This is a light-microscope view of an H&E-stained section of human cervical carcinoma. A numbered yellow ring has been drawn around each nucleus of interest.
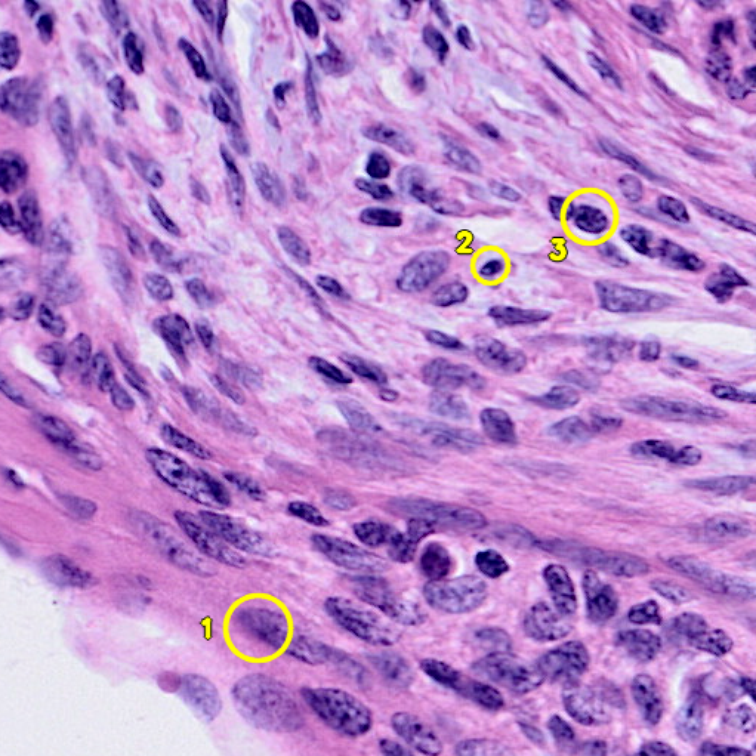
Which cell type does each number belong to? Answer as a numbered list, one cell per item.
1. squamous carcinoma cell
2. lymphocyte
3. lymphocyte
